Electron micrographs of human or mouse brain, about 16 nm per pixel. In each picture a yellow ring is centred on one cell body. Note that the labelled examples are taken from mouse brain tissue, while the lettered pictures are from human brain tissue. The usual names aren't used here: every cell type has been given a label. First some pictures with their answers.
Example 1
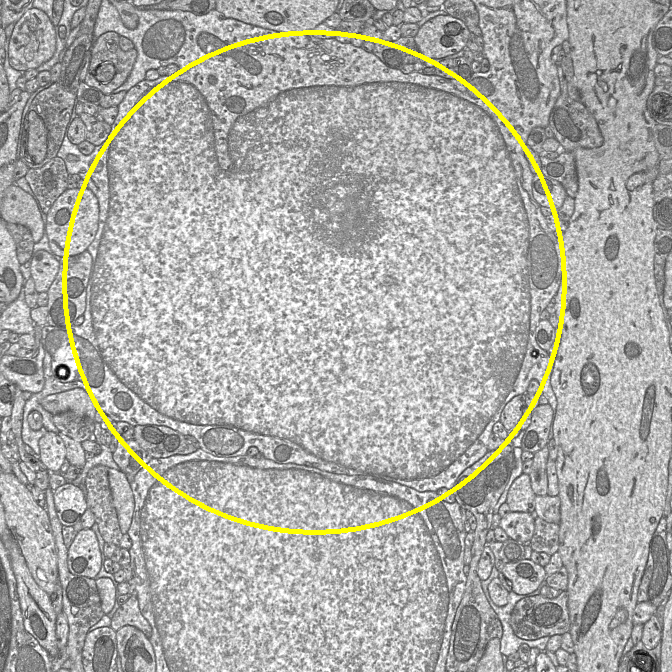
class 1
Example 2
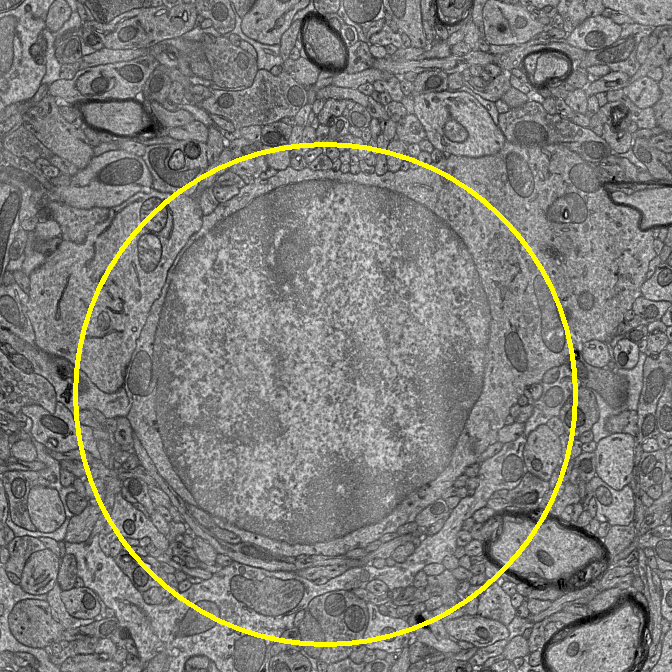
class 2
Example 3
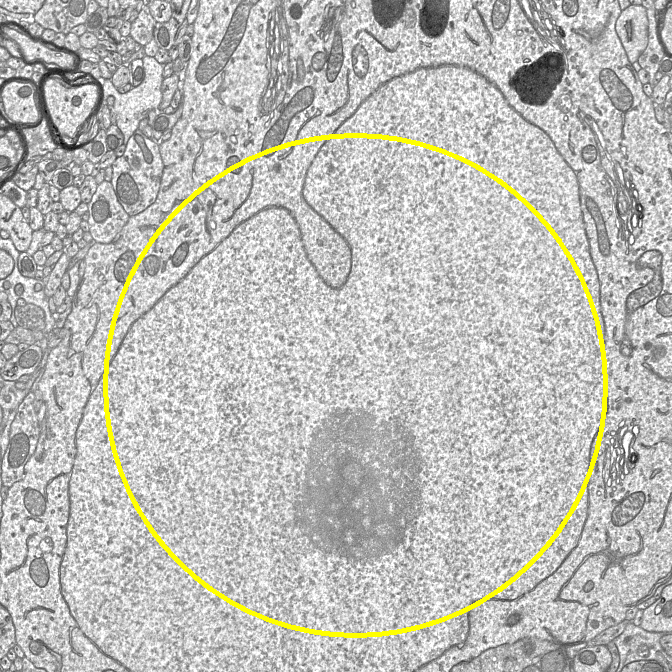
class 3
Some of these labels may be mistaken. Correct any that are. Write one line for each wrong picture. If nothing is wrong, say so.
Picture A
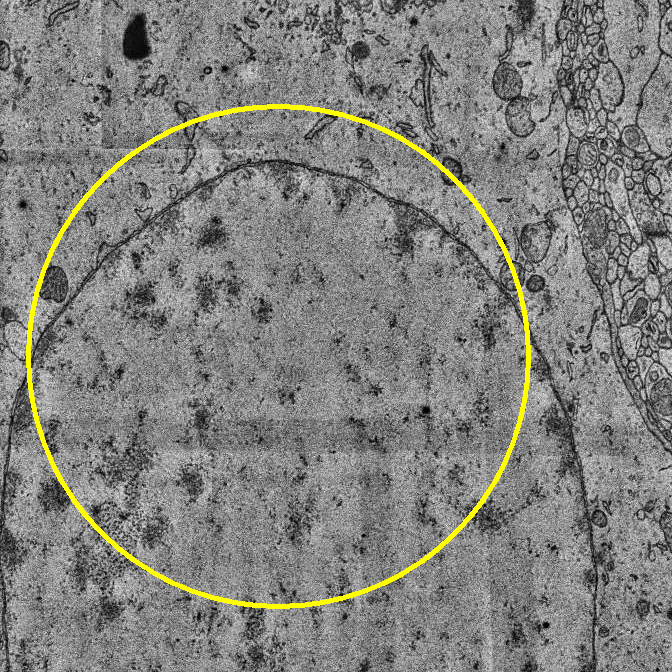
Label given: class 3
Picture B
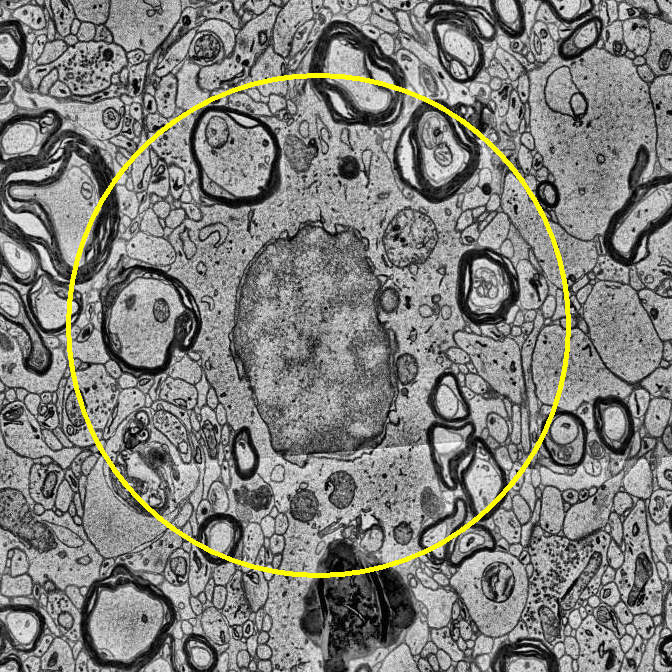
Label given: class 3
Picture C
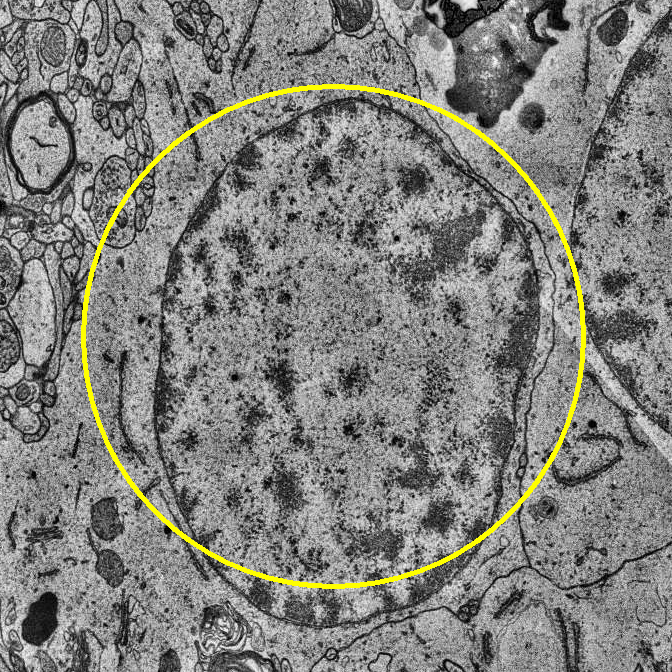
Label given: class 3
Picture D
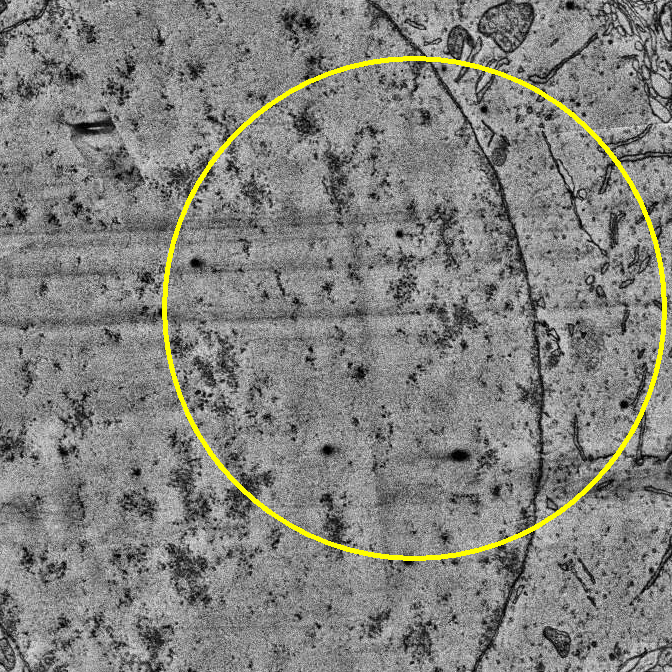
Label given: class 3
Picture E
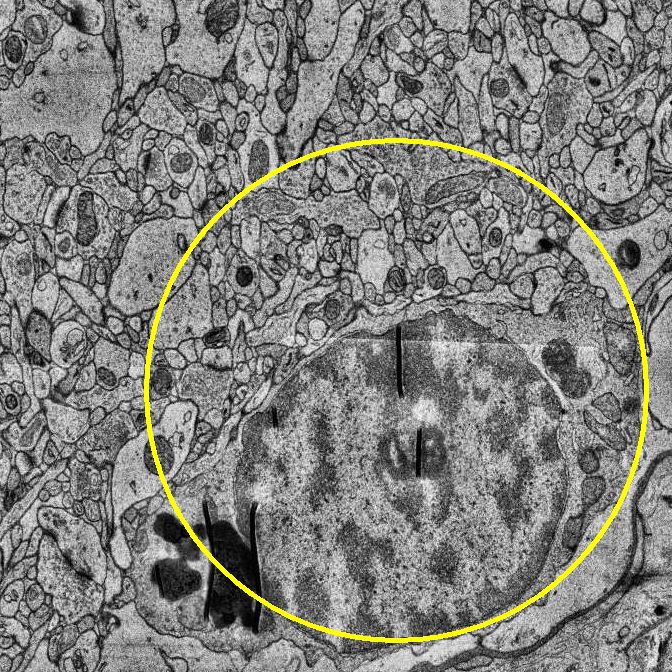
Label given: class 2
B: class 2, not class 3
C: class 1, not class 3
